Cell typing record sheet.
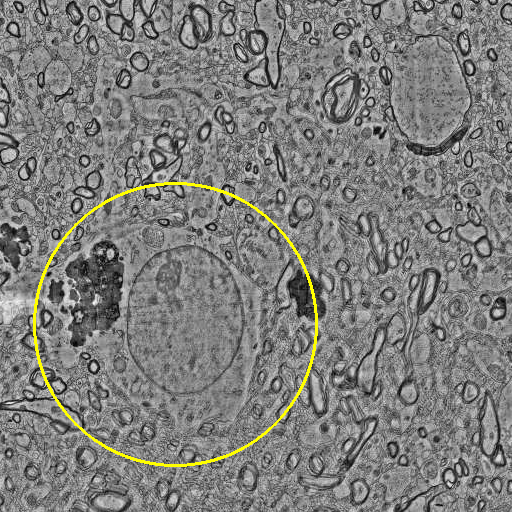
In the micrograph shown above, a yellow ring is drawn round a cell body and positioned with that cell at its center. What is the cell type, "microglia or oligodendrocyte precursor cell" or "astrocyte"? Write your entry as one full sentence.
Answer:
The cell body at the center of the ring belongs to an astrocyte.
